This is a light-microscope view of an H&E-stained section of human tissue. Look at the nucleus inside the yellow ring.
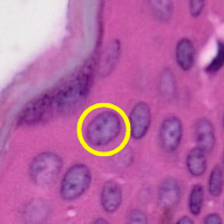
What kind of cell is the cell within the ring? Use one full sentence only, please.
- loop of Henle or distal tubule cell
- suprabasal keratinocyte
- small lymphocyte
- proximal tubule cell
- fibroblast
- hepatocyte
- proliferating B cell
By cell type, the cell within the ring is a suprabasal keratinocyte.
